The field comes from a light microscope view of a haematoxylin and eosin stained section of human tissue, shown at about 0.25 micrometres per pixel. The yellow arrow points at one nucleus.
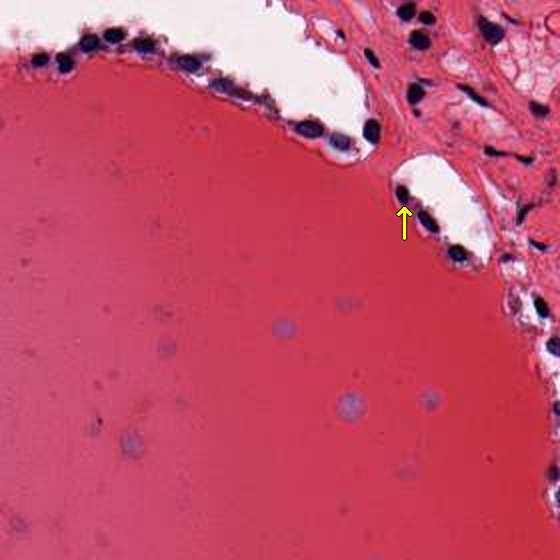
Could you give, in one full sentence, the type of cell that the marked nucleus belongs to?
The cell that the marked nucleus belongs to is a thyroid follicular cell.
